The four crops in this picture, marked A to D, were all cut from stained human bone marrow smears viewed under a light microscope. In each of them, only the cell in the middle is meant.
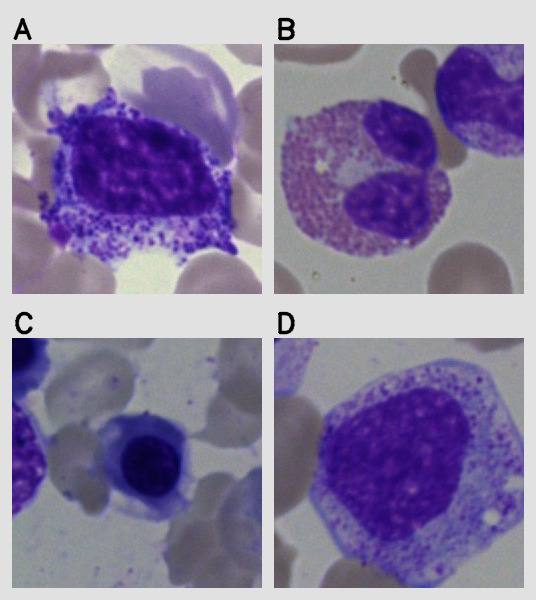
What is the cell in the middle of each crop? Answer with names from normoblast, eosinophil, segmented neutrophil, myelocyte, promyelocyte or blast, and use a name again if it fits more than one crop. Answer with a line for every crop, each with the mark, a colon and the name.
A: promyelocyte
B: eosinophil
C: normoblast
D: myelocyte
